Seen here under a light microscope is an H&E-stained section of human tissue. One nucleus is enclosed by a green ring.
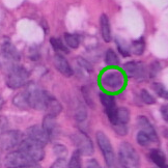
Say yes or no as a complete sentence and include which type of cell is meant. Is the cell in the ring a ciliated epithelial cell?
Yes, the cell in the ring is accurately described as a ciliated epithelial cell.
